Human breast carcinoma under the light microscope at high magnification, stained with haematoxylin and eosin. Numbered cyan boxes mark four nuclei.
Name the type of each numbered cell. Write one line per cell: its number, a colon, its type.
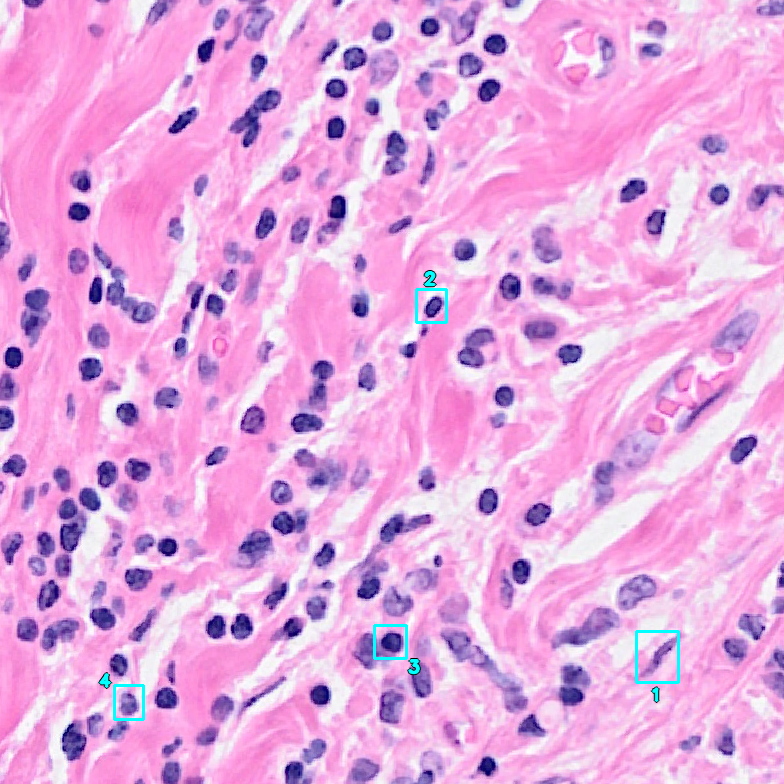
1: fibroblast
2: lymphocyte
3: lymphocyte
4: lymphocyte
